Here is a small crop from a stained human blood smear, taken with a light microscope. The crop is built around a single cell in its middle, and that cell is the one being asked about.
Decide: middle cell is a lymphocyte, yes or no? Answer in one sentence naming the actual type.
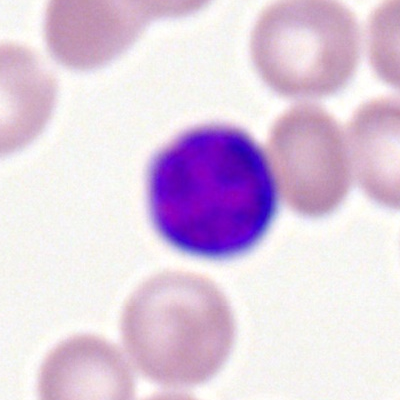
Yes, the cell shown centrally is a lymphocyte.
